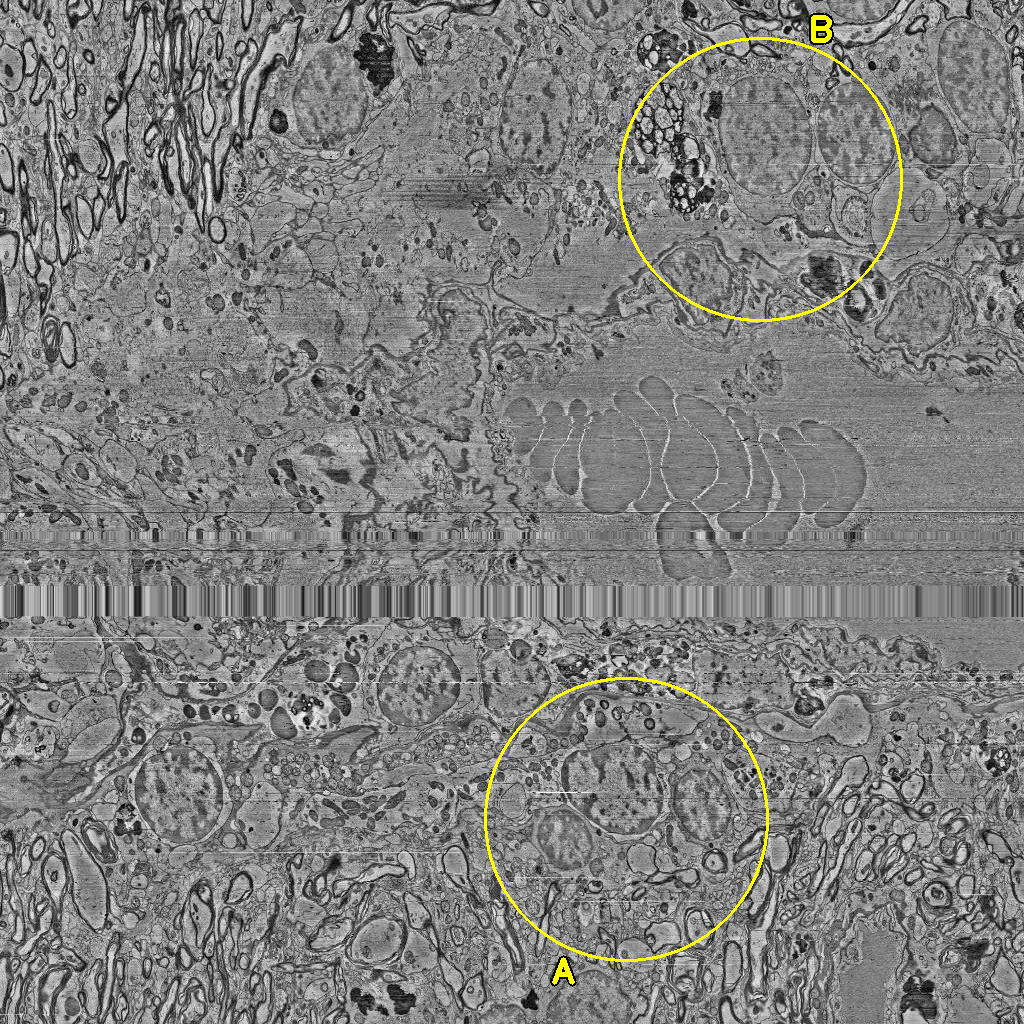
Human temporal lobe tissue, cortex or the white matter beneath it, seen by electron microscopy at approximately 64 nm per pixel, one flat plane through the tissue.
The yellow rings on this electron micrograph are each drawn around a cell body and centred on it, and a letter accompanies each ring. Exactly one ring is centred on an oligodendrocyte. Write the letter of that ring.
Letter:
B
